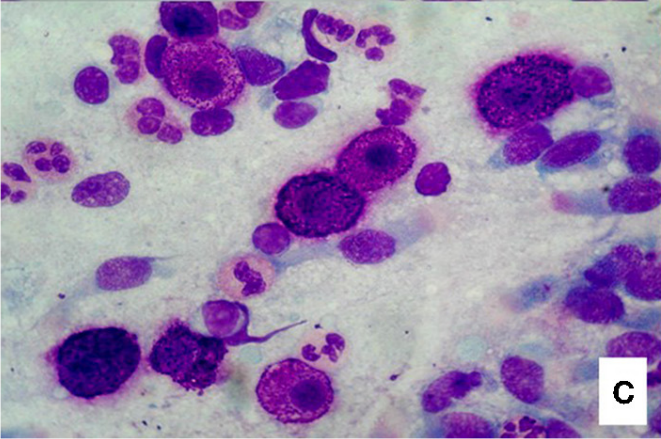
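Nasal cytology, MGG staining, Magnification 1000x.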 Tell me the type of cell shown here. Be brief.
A: Mast cells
